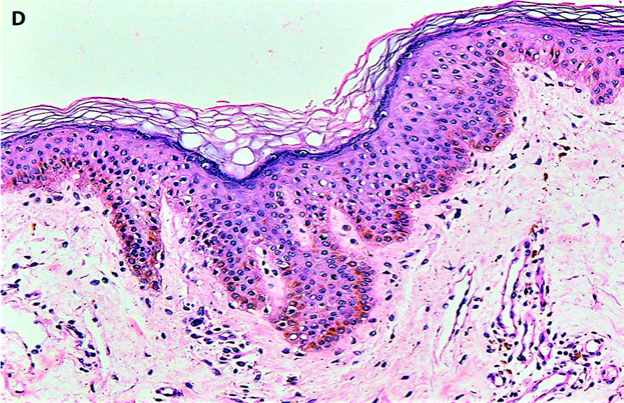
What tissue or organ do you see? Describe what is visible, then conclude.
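A stratified squamous epithelium with a basket-weave surface layer overlies loose pink connective tissue. Rete ridges project down into the connective tissue.
Answer: epidermis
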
